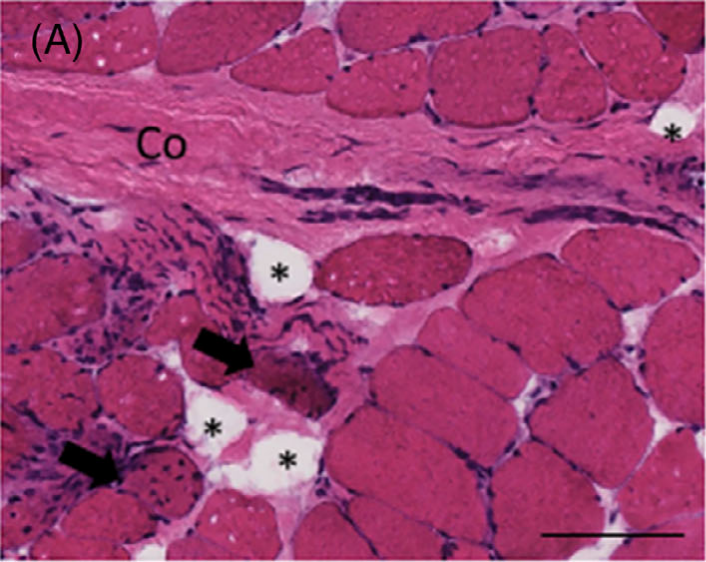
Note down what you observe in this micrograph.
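This is a cross-section of skeletal muscle with rounded to polygonal pink muscle fibers of varying size, separated by thin pale connective tissue. A broad band of paler pink, wavy fibrous collagen runs across the upper part, carrying elongated dark purple nuclei. Several empty, rounded white spaces lie between fibers, consistent with fat cells. Most fibers have their few nuclei at the edge, but a few fibers carry dark purple nuclei within their interior, muscle fibers with centralized nuclei. Around the lower left the fibers are smaller and surrounded by more densely packed dark nuclei.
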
